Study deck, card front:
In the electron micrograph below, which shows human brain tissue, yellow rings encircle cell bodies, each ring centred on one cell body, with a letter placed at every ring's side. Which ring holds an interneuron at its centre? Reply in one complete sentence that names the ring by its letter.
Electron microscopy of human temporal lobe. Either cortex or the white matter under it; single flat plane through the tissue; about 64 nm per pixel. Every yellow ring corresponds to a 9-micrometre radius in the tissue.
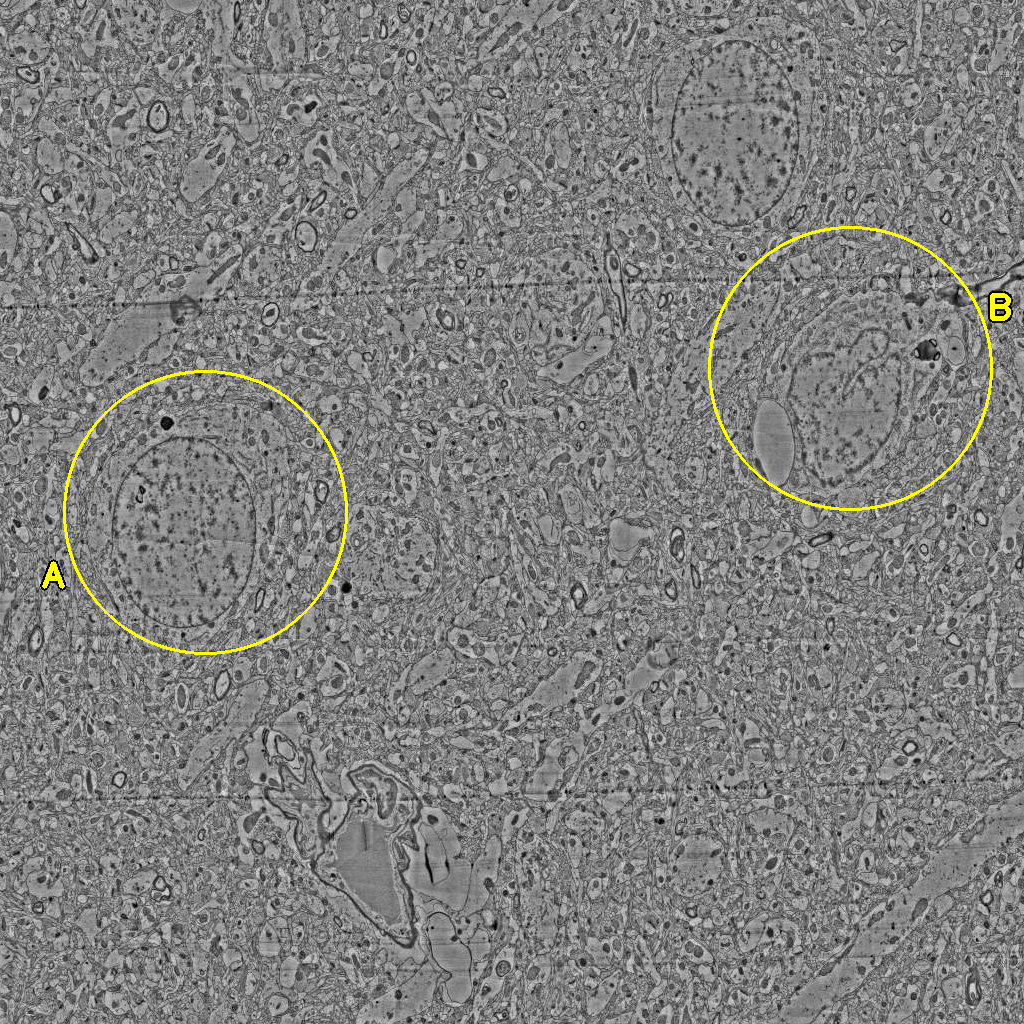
The cell asked for sits at the centre of ring B in the picture.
